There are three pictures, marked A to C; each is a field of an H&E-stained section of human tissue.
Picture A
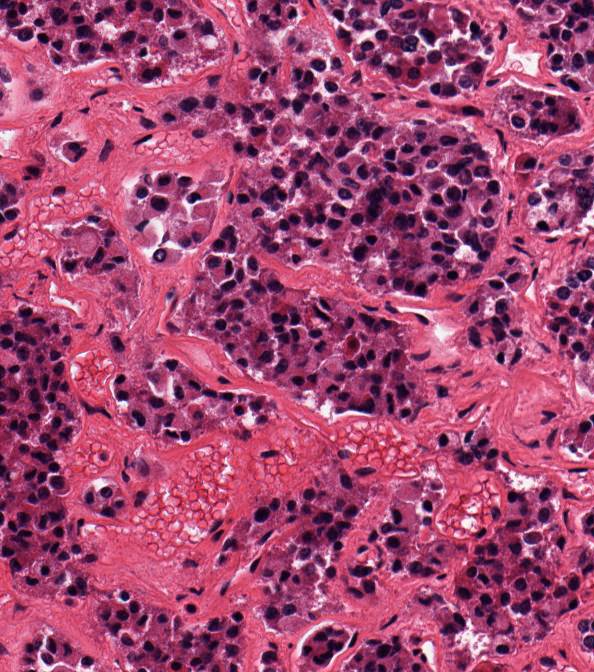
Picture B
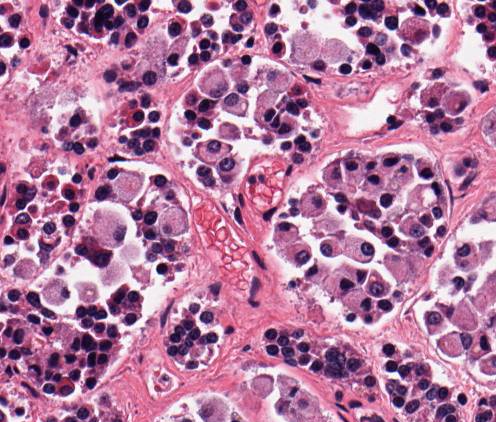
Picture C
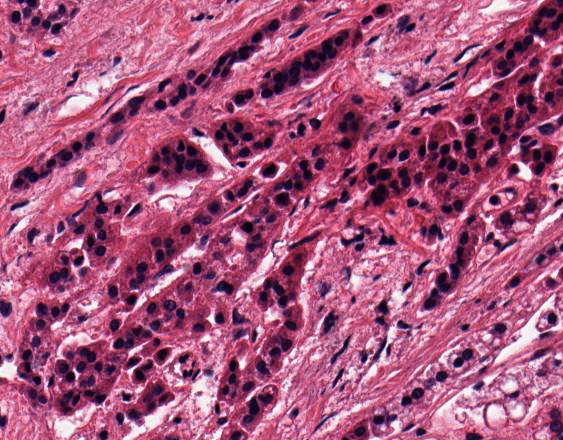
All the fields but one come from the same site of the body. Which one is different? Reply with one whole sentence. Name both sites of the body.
All pictures except C come from the pituitary; picture C comes from the adrenal gland.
